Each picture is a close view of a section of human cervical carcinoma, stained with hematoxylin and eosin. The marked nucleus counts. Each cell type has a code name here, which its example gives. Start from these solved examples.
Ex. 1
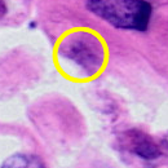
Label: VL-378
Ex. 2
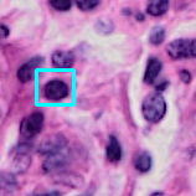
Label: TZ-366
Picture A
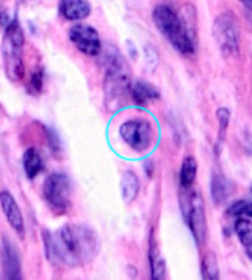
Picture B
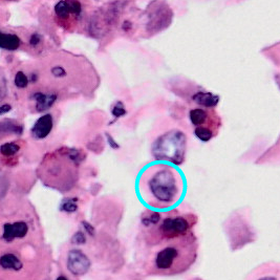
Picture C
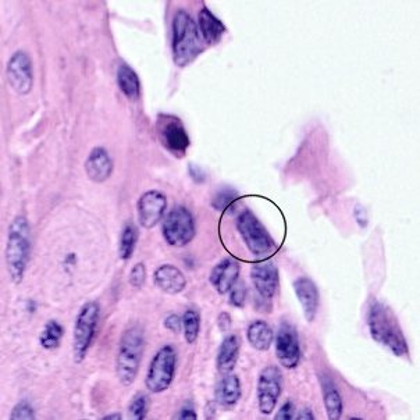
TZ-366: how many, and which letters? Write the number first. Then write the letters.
1, namely A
